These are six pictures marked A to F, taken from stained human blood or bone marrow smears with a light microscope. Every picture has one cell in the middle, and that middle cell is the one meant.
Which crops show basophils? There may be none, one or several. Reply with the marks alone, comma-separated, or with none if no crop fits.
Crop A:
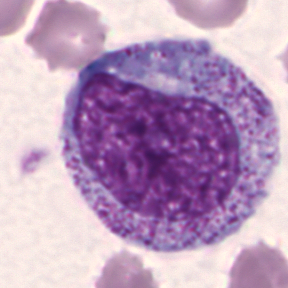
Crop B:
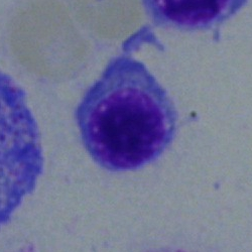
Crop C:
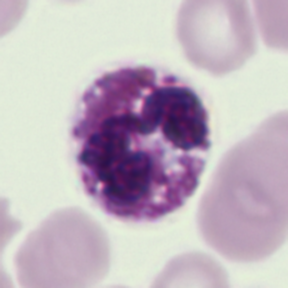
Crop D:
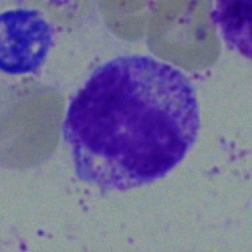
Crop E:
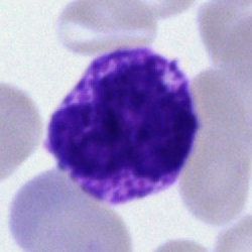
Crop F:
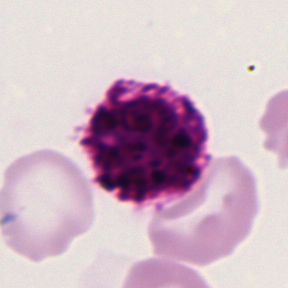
E, F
